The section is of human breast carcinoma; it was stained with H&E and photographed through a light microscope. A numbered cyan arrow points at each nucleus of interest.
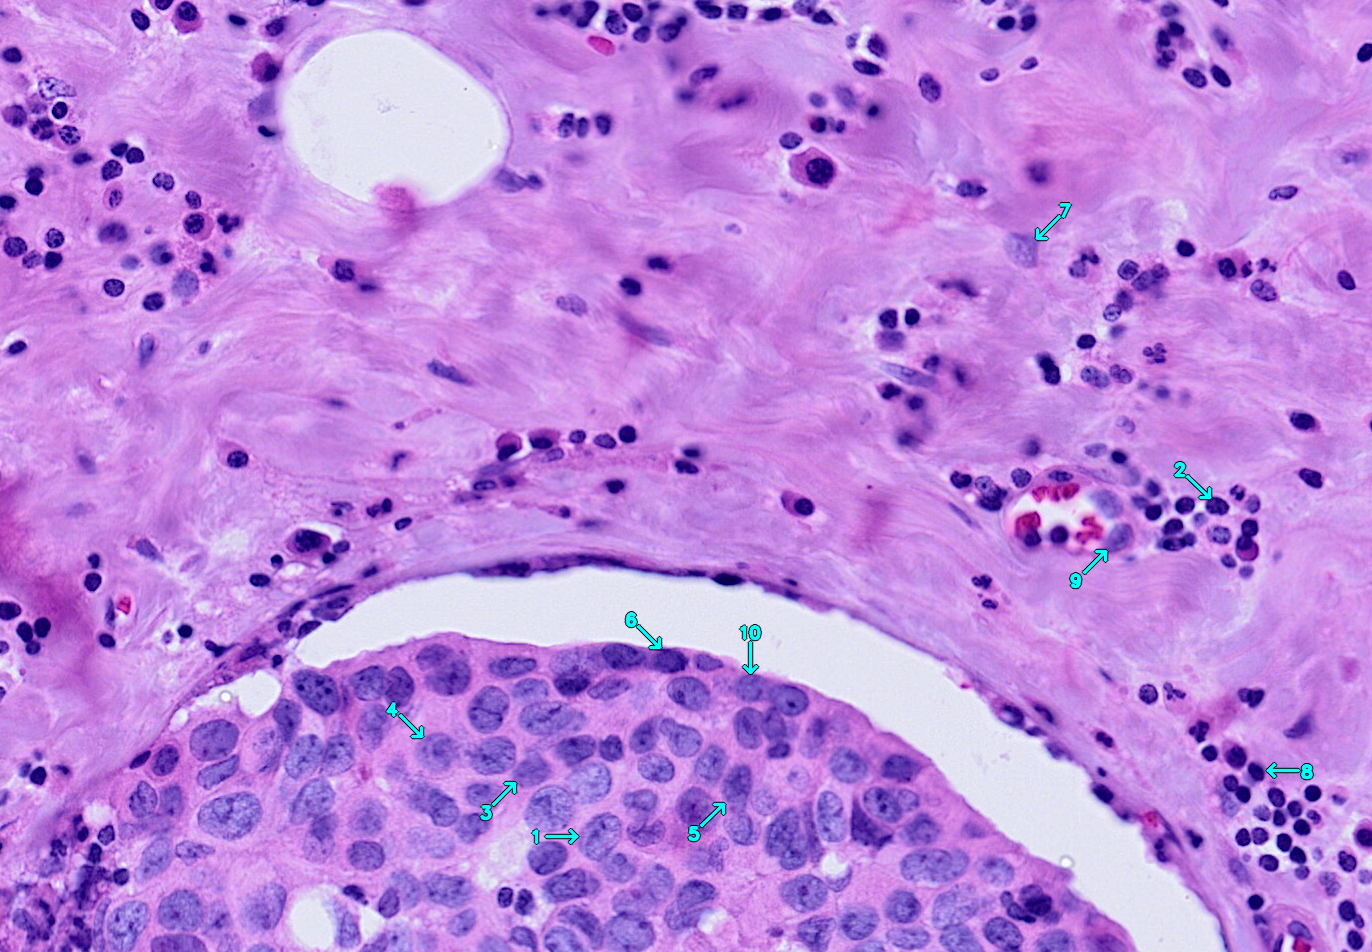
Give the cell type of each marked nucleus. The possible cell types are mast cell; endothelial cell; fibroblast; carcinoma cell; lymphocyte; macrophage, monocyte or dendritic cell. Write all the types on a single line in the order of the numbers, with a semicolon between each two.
carcinoma cell; lymphocyte; carcinoma cell; carcinoma cell; carcinoma cell; carcinoma cell; fibroblast; lymphocyte; endothelial cell; carcinoma cell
